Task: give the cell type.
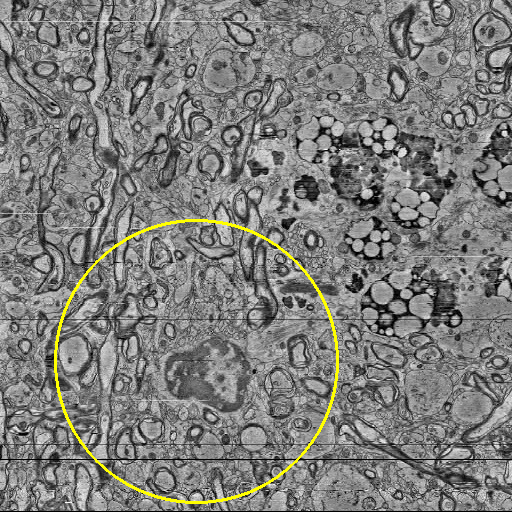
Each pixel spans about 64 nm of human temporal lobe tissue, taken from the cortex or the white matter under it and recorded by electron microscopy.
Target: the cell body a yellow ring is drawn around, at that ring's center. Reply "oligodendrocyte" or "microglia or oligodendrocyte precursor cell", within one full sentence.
In this picture, the cell whose body lies at the ring's center is a microglial cell or oligodendrocyte precursor cell.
